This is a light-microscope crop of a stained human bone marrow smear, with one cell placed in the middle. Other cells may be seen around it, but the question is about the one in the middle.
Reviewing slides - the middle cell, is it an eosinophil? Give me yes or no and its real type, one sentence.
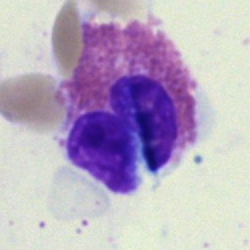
Yes, the cell that is in the middle is an eosinophil.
